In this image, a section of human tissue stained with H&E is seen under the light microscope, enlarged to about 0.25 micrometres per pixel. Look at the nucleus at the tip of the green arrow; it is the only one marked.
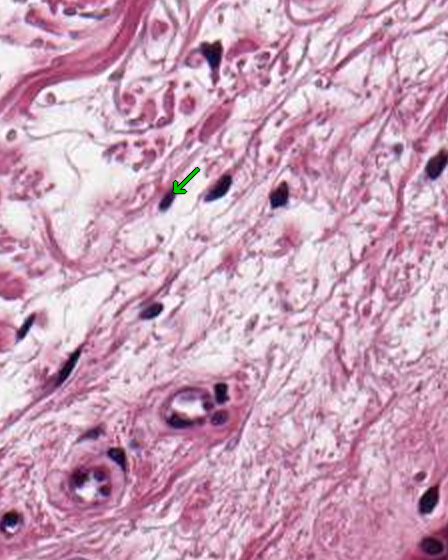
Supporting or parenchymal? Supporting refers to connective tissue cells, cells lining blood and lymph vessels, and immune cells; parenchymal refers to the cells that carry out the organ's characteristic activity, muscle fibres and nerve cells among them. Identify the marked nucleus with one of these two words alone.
supporting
